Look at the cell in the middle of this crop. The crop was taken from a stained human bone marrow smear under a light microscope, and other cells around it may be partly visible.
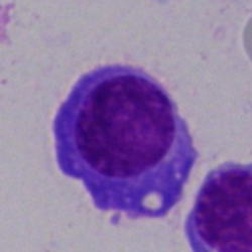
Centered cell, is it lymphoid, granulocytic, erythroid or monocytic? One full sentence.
Belonging to the lymphoid lineage is the cell positioned in the middle.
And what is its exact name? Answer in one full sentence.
The central cell, amid any neighbouring cells, is a plasma cell.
